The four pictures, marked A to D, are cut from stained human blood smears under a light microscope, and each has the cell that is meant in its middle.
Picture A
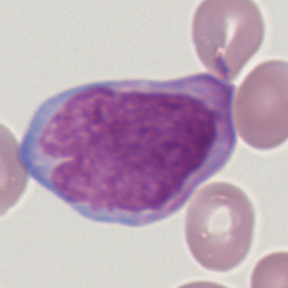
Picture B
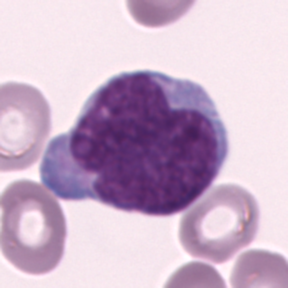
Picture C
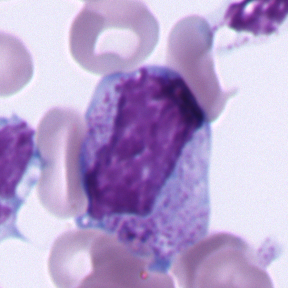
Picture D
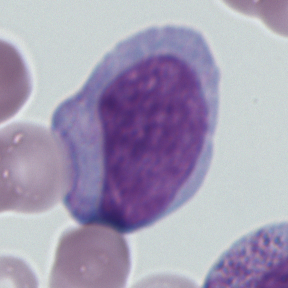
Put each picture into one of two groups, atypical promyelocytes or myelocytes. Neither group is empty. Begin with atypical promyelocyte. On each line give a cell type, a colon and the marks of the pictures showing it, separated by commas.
atypical promyelocyte: A, B, D
myelocyte: C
